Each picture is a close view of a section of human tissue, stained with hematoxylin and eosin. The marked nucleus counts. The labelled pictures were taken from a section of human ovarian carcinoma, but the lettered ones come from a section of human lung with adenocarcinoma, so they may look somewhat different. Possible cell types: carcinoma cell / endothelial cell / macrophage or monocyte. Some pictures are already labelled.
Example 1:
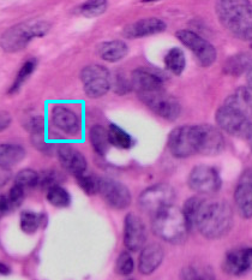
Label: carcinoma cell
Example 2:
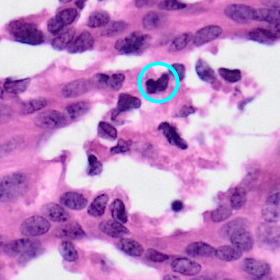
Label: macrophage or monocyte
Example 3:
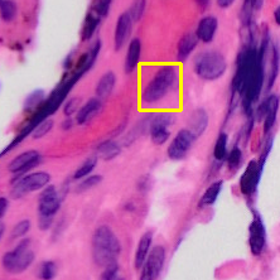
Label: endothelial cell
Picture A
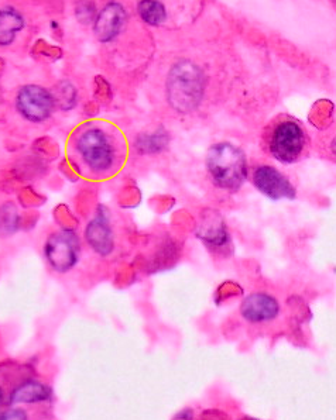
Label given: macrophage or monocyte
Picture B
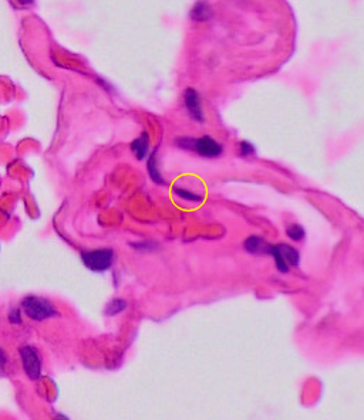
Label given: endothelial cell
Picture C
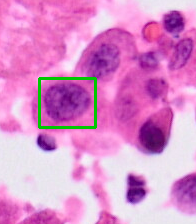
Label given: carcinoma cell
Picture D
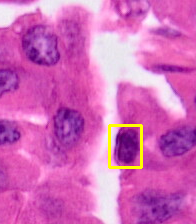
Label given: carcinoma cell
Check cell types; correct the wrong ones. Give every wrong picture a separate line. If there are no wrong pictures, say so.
None of the labels needs changing.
